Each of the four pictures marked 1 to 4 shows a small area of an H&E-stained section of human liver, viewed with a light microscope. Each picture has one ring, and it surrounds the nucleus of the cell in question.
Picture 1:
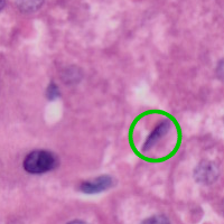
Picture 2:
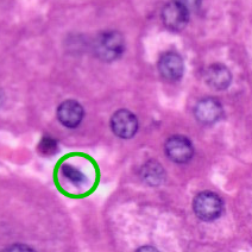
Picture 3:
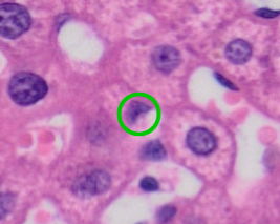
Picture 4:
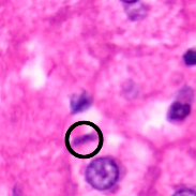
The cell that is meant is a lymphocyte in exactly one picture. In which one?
2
